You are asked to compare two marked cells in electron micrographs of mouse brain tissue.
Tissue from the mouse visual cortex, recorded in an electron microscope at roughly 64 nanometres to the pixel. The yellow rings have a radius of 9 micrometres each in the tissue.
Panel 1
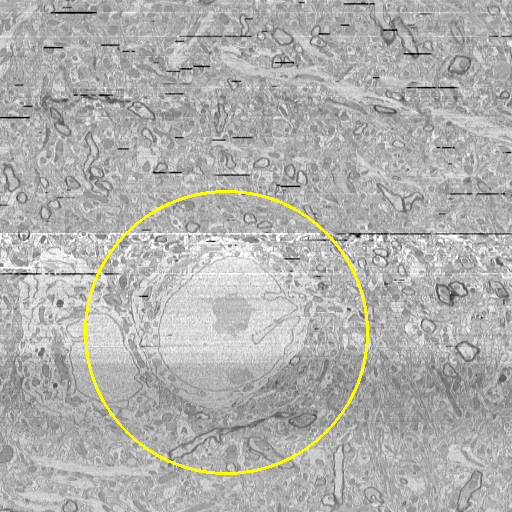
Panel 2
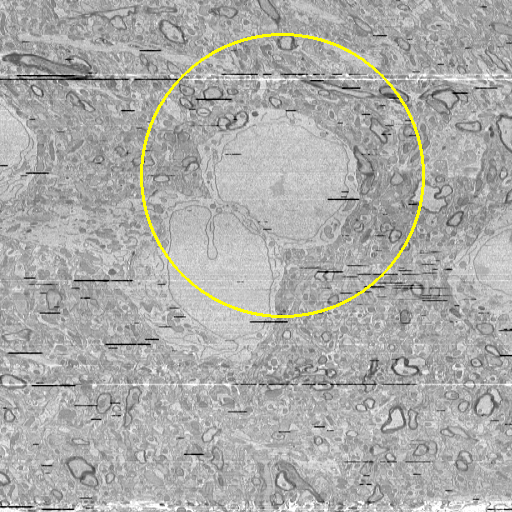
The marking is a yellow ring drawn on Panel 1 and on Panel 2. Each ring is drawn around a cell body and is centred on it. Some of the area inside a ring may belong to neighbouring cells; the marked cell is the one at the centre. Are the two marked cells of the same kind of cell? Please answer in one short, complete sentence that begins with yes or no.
Yes, the two marked cells are of the same kind.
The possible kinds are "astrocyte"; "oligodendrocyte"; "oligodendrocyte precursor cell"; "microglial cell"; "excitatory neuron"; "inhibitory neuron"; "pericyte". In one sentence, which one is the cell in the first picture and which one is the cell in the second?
Each of the ringed cells, first and second, is an excitatory neuron.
